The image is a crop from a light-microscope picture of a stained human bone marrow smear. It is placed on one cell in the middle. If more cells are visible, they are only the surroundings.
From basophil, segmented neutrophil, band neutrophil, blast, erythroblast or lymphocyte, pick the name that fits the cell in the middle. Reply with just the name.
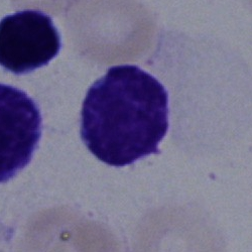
lymphocyte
